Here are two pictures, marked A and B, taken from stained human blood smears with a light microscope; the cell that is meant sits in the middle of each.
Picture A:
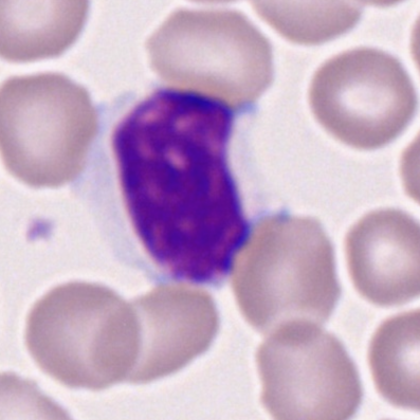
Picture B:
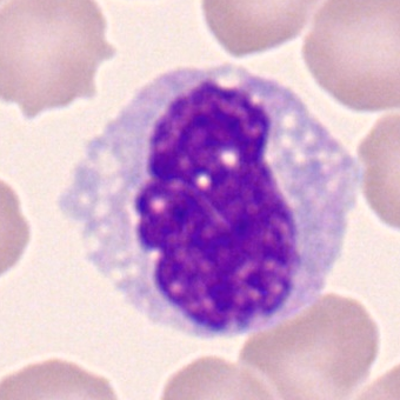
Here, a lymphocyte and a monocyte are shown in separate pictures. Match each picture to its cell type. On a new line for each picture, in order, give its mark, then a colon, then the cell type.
A: lymphocyte
B: monocyte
